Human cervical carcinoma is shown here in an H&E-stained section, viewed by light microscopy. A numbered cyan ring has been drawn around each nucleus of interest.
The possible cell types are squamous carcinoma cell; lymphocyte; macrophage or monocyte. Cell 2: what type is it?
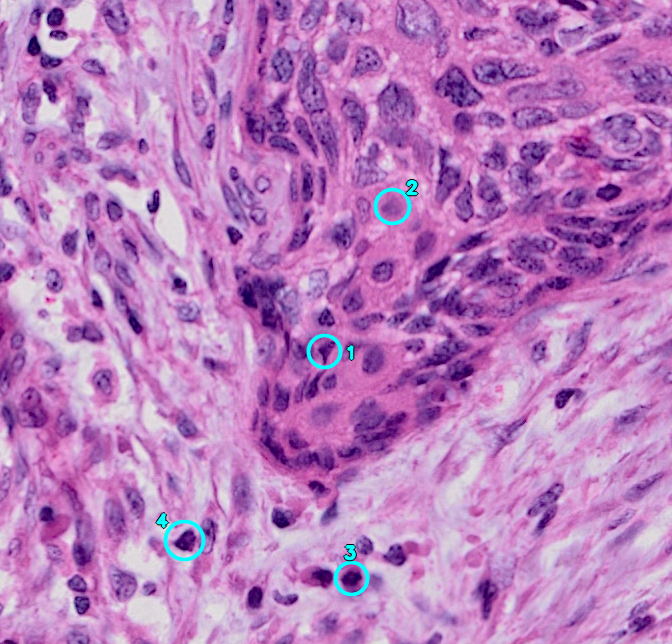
squamous carcinoma cell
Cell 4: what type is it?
lymphocyte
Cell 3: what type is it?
lymphocyte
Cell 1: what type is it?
squamous carcinoma cell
